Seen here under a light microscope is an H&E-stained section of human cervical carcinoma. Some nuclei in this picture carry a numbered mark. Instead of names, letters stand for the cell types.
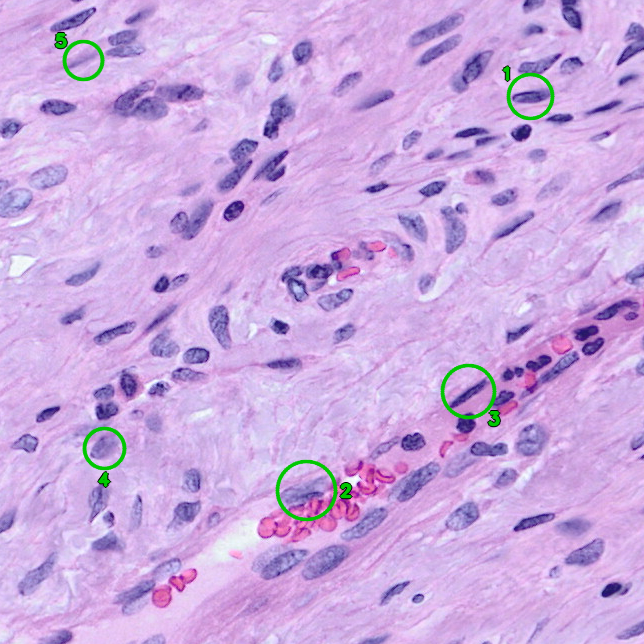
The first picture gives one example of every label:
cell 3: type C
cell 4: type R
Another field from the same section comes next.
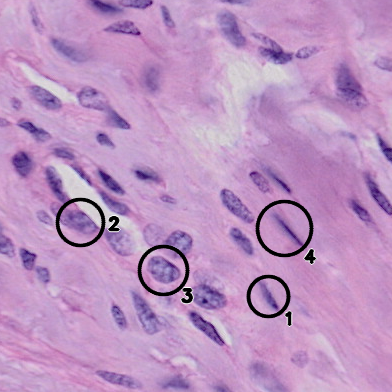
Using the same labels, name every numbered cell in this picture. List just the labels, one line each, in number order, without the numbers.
type R
type C
type C
type R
